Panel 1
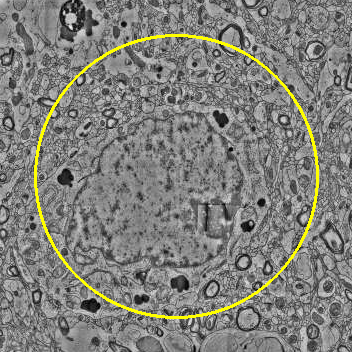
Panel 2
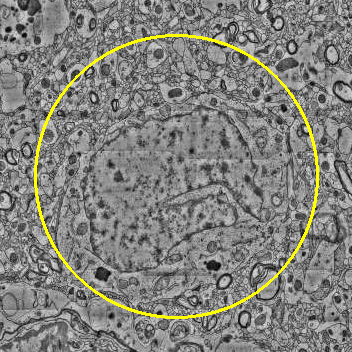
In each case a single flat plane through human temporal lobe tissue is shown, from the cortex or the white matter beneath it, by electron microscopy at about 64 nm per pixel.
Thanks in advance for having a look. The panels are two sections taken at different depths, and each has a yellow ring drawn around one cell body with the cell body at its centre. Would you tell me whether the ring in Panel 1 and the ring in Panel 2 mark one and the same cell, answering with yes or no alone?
yes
